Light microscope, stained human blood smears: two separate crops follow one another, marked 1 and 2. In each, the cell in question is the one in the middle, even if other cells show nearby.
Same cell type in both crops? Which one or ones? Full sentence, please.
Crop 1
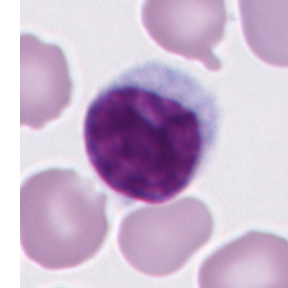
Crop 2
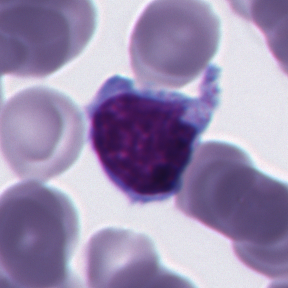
No, cell 1 is a hairy cell, and cell 2 is a typical lymphocyte.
